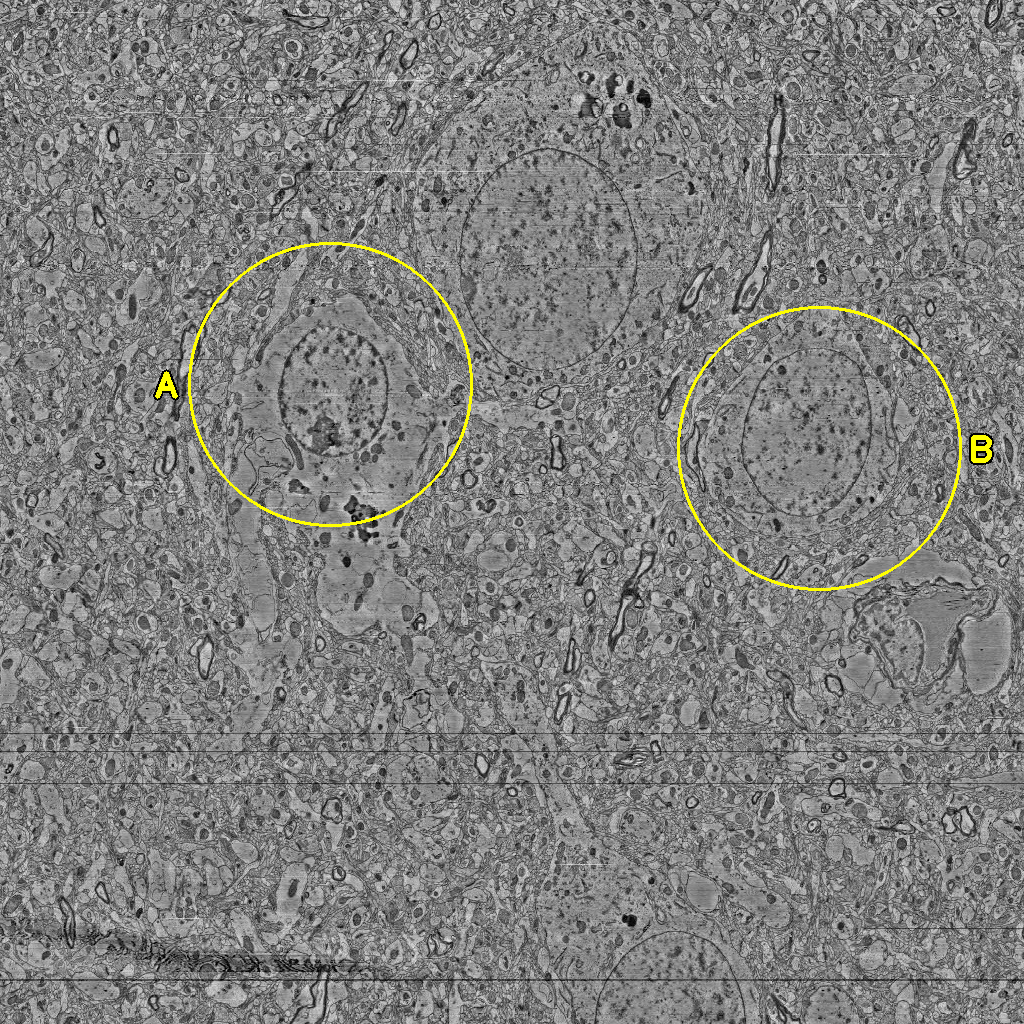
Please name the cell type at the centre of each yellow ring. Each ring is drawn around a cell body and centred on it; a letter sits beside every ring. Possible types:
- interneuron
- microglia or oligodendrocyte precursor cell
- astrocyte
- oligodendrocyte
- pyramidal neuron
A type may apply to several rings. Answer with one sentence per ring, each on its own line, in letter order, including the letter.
Ring A is centred on the cell body of an astrocyte.
Ring B is centred on the cell body of a pyramidal neuron.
